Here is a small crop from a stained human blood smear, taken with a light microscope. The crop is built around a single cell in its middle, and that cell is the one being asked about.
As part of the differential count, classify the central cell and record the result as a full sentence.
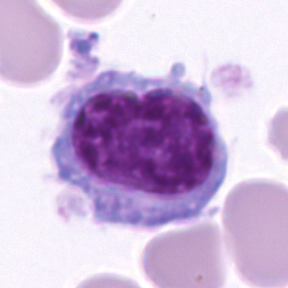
What sits at the centre of this crop is a plasma cell.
